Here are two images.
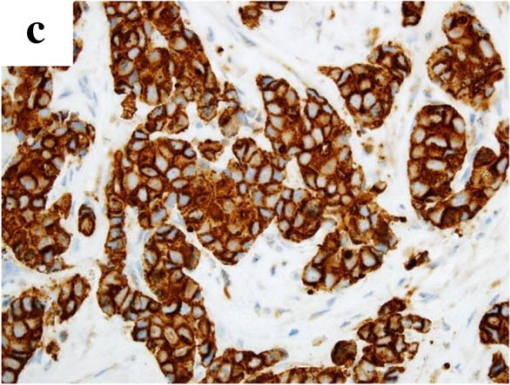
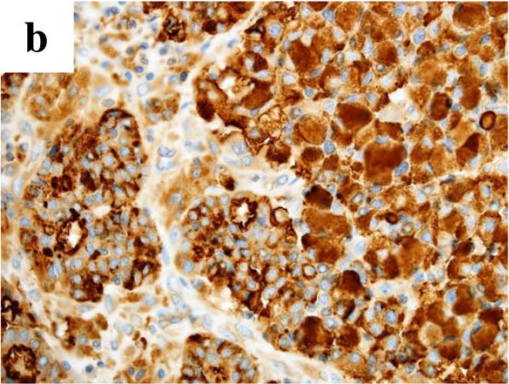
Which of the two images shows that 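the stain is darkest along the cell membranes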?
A: The first image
